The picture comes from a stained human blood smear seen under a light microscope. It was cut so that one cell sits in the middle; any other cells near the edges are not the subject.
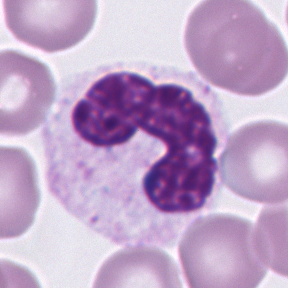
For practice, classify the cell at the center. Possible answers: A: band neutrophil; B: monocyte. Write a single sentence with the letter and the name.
For this crop, option A is right, the centered cell being a band neutrophil.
